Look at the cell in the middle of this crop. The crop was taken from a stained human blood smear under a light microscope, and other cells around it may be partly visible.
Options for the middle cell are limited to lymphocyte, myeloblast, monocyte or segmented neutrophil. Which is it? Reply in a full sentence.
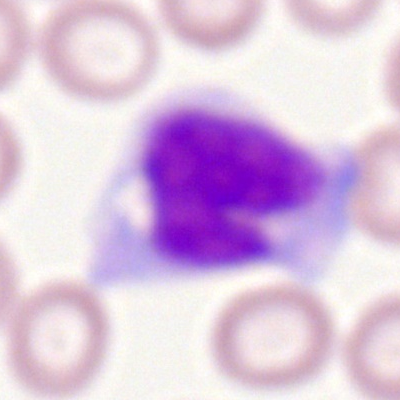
Located at the centre of the crop is a monocyte.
